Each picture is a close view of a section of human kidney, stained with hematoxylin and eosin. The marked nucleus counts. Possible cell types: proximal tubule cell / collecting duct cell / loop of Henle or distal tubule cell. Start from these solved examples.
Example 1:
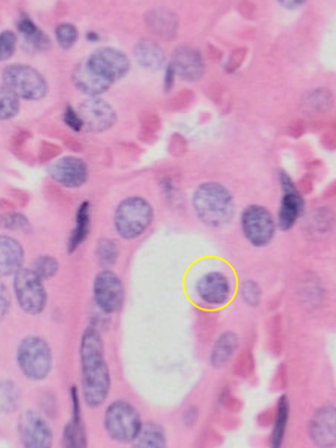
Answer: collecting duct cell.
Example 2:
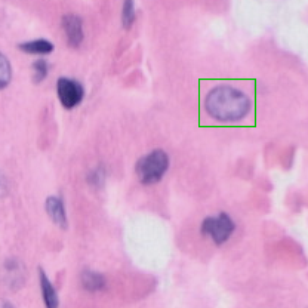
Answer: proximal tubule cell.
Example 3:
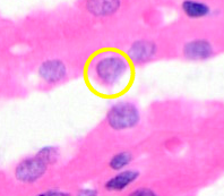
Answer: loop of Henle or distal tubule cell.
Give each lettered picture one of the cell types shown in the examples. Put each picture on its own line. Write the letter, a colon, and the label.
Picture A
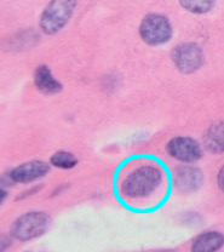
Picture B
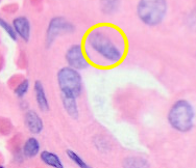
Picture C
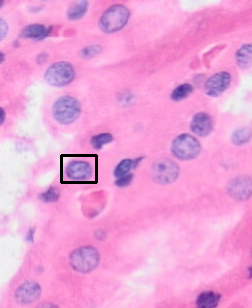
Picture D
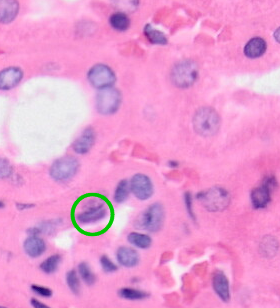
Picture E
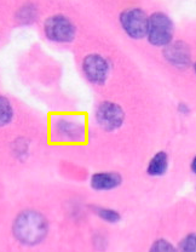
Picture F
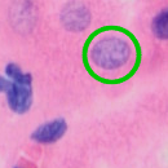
A: collecting duct cell.
B: collecting duct cell.
C: loop of Henle or distal tubule cell.
D: collecting duct cell.
E: loop of Henle or distal tubule cell.
F: proximal tubule cell.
